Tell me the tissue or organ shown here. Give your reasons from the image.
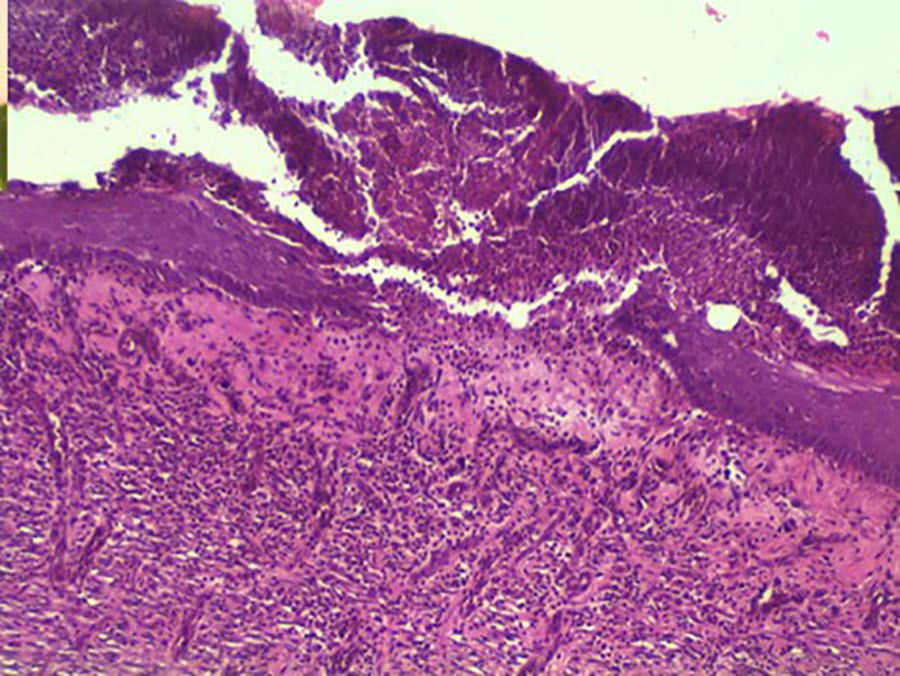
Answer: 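The lower half is cellular connective tissue with many small vessels running toward the surface. Numerous small dark nuclei of inflammatory cells are scattered through it. The answer: granulation tissues.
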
